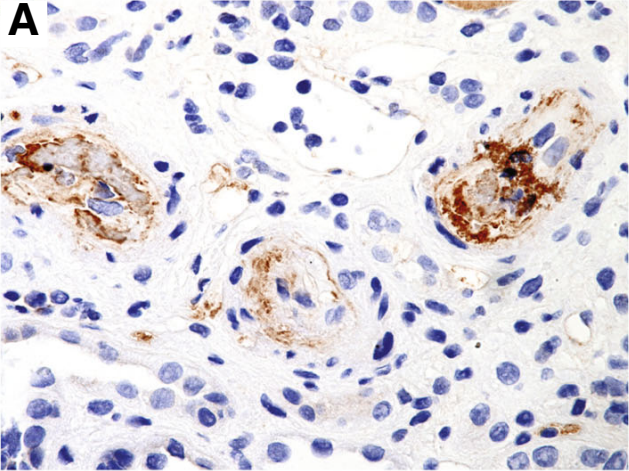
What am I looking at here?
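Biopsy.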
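Several small vessels are cut across within cellular interstitial tissue. Their walls are thickened and swollen, with the lumen narrowed or hardly visible, and patchy granular brown stain lies within the inner layers of the wall.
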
